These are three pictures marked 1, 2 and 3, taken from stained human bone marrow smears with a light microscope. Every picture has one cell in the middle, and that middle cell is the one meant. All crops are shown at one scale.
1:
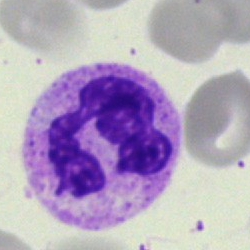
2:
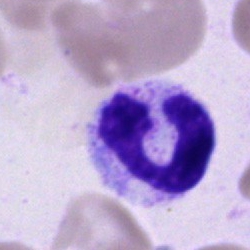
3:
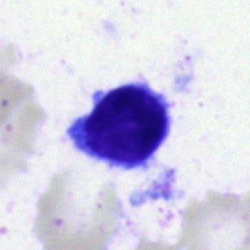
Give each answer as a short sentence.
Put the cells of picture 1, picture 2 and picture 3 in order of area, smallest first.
Smallest first: 3, 2, 1.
